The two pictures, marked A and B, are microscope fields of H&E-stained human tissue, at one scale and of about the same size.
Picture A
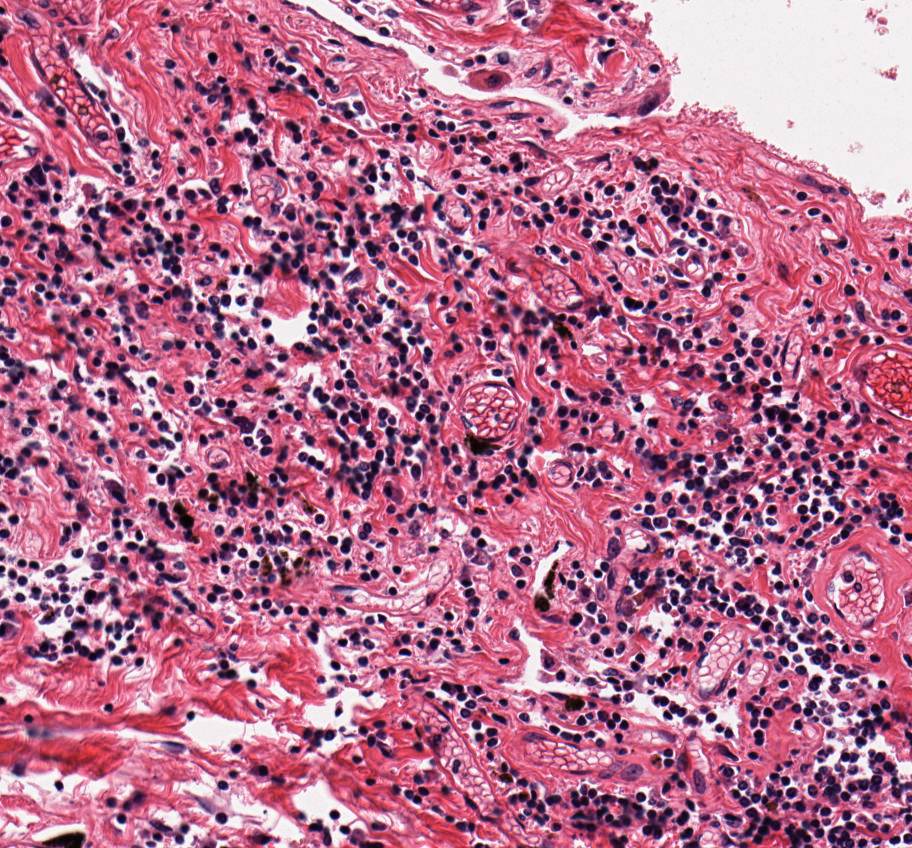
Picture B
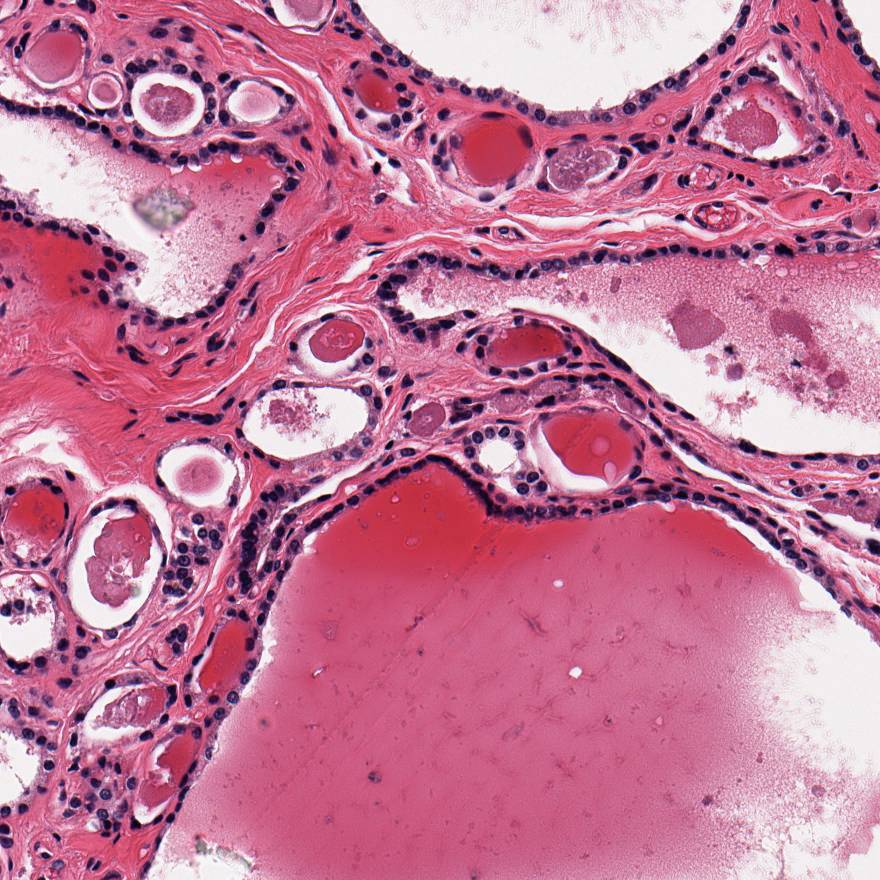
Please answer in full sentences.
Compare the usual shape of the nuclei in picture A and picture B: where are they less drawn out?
The nuclei are rounder in picture A.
